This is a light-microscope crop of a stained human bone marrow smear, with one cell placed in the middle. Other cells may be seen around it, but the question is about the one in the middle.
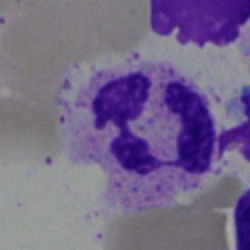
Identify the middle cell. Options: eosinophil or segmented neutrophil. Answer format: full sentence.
The crop shows a segmented neutrophil in its centre.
